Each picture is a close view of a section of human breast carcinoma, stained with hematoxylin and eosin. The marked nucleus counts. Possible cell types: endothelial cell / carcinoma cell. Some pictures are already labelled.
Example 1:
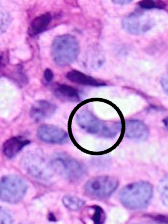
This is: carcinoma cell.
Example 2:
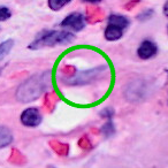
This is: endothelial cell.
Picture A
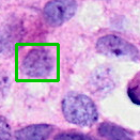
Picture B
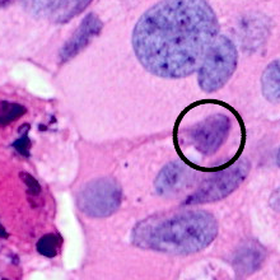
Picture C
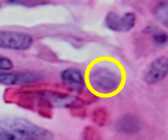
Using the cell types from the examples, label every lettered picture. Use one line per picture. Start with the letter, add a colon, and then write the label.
A: carcinoma cell.
B: carcinoma cell.
C: endothelial cell.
